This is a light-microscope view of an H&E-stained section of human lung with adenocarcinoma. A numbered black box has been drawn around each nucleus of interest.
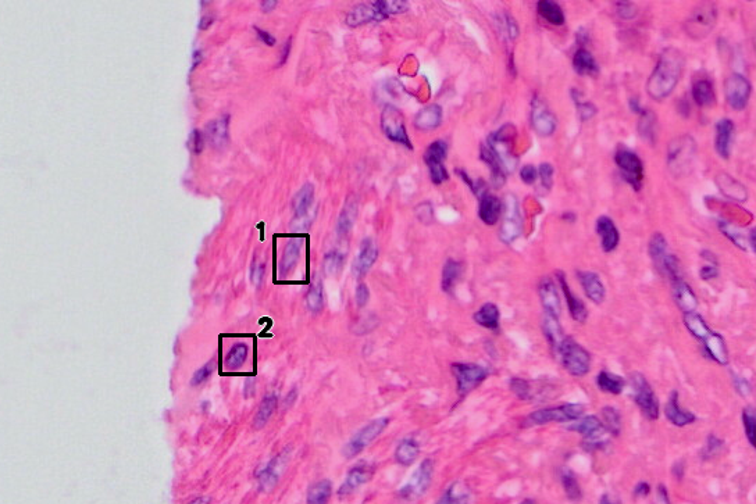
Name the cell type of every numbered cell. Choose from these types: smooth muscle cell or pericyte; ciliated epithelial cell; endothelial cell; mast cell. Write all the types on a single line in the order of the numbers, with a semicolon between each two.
smooth muscle cell or pericyte; mast cell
